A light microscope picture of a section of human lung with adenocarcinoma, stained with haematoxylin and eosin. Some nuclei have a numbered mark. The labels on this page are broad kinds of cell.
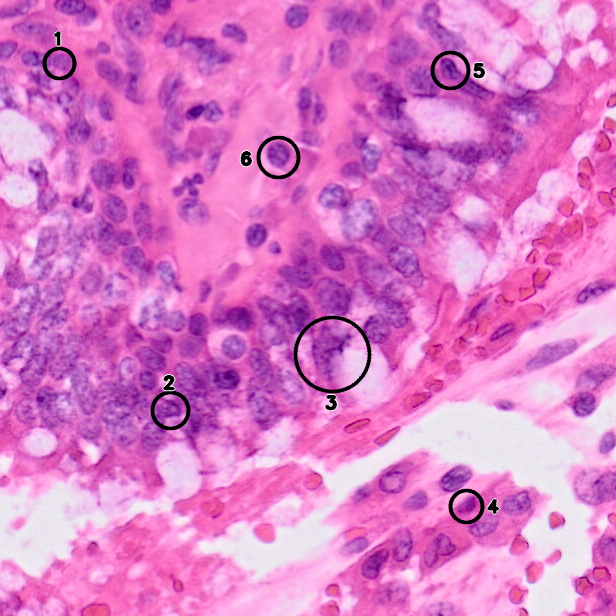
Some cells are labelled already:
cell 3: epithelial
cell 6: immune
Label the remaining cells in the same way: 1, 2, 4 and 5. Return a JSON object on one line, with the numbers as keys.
{"1": "epithelial", "2": "epithelial", "4": "immune", "5": "epithelial"}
